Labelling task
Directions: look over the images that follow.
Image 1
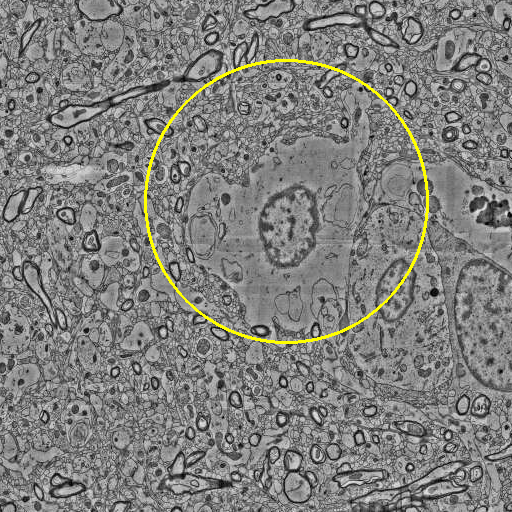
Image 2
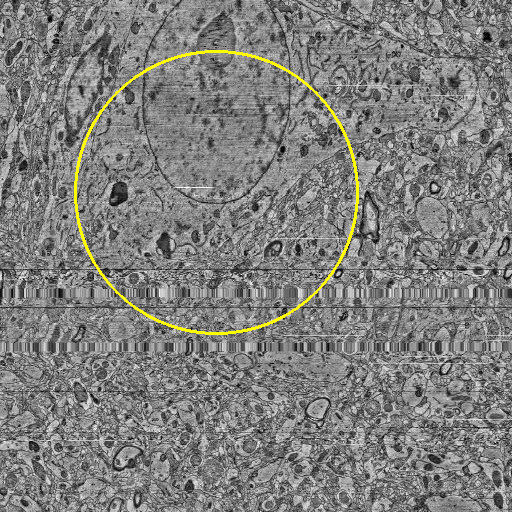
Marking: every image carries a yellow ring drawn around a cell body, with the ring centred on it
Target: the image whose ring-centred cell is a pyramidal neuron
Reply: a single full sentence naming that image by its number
The requested cell sits at the ring's centre in Image 2.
